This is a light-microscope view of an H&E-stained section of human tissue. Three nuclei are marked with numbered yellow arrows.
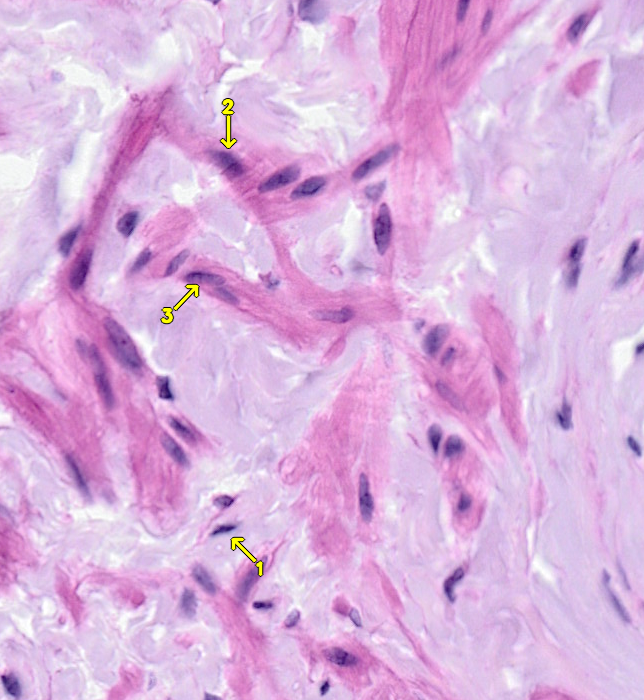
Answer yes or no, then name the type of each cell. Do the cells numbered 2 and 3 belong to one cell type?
Yes, both are smooth muscle cells.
